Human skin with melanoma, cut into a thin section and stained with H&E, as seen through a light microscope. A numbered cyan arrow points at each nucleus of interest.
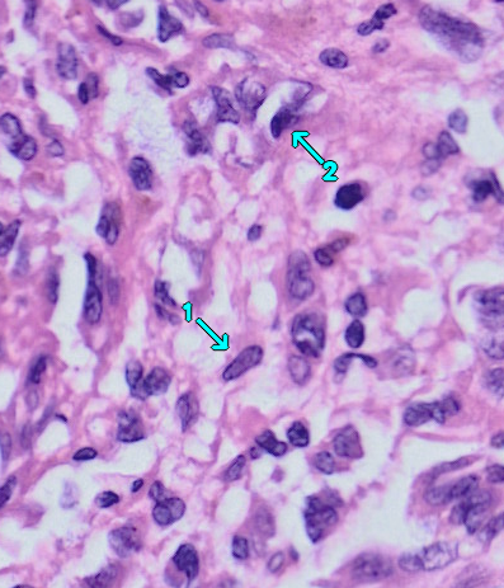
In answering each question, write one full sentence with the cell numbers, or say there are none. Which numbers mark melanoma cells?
Being a melanoma cell is true of cell 2 and of no other numbered cell.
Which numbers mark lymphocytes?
Across all the numbered cells, no lymphocytes are present.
